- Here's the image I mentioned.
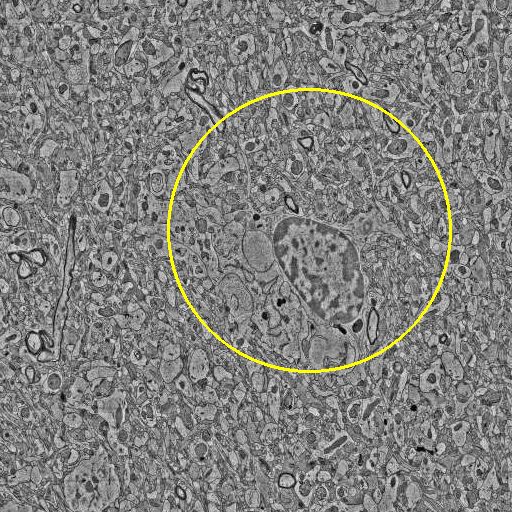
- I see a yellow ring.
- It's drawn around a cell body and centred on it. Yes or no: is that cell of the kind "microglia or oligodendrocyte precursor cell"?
yes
